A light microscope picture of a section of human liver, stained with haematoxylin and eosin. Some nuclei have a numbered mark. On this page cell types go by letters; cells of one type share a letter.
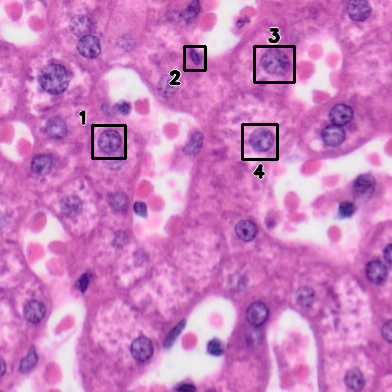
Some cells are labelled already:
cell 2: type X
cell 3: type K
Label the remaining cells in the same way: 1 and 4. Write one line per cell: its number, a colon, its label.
1: type K
4: type K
